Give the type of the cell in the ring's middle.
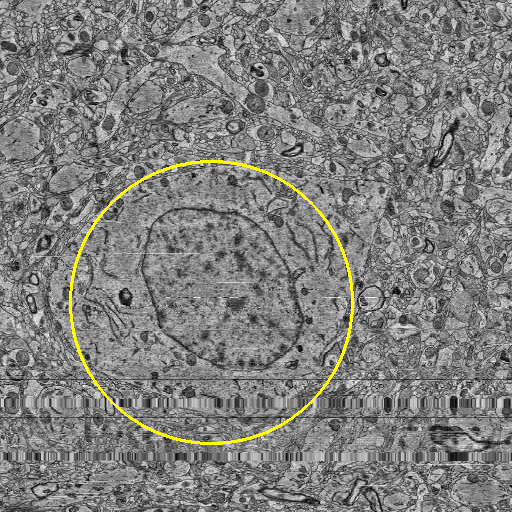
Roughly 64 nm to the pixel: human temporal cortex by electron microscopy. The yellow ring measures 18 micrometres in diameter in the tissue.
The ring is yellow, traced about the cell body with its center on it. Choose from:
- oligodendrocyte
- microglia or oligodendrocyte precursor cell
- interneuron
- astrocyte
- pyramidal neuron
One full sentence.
Here, a pyramidal neuron is the cell lying at the center of the yellow ring.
